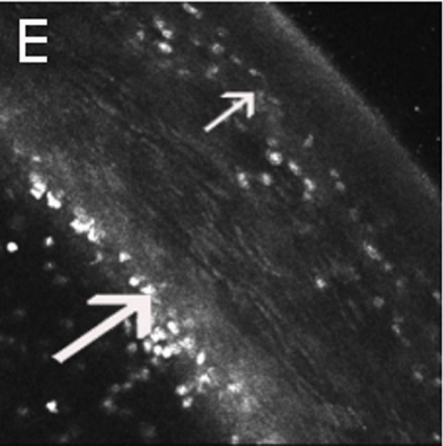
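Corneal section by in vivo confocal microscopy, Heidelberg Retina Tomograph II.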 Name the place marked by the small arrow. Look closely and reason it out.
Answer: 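The small arrow points to a band near the curved outer edge of the tissue. Scattered bright cells lie in this outer band. So: anterior stroma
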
